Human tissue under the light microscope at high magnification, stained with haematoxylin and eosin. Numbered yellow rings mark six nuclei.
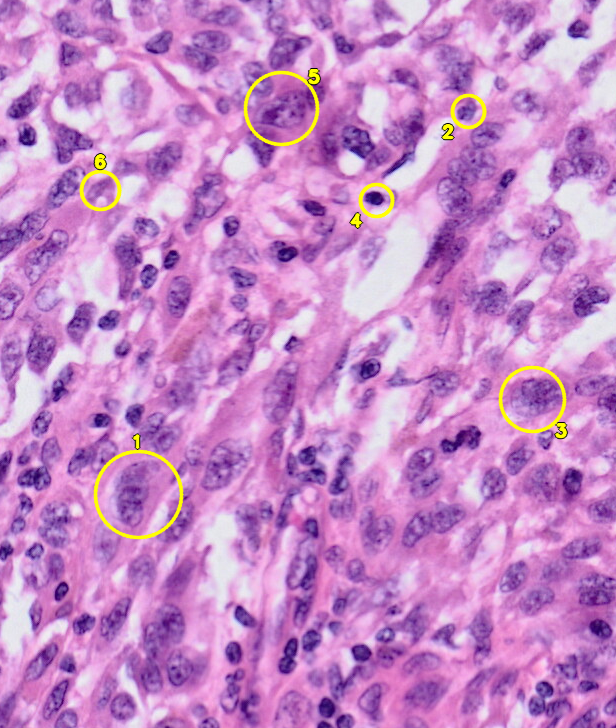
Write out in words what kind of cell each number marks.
Cells 1, 3, 5 and 6 are melanoma cells. Cells 2 and 4 are lymphocytes.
